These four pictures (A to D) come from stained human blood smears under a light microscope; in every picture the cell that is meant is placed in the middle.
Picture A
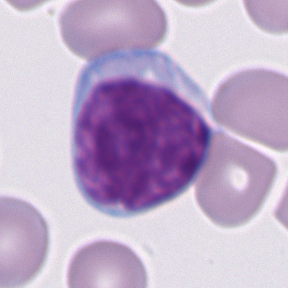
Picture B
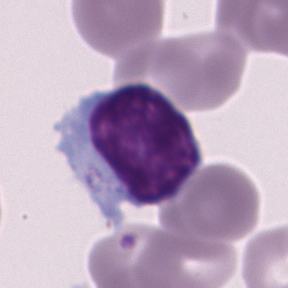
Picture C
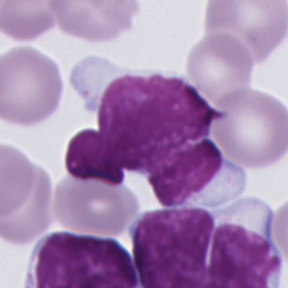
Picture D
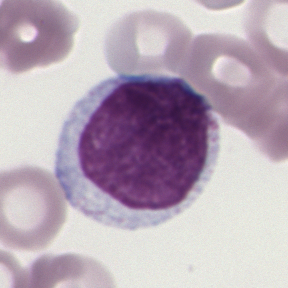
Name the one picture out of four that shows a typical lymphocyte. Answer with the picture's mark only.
D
